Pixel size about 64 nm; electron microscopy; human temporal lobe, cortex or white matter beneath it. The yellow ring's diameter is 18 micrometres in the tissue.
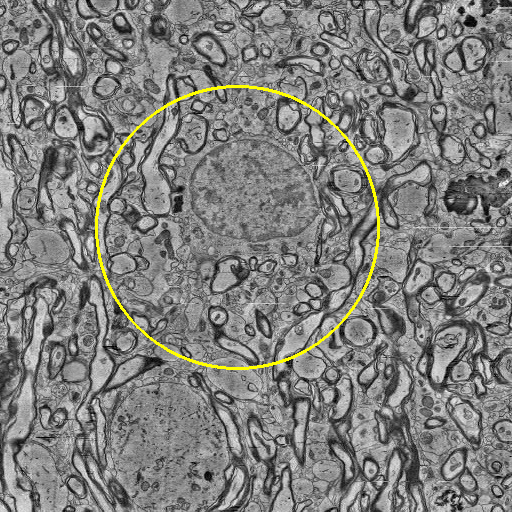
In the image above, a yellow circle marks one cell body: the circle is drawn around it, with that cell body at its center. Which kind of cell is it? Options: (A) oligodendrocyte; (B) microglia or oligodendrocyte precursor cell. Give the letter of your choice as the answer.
A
